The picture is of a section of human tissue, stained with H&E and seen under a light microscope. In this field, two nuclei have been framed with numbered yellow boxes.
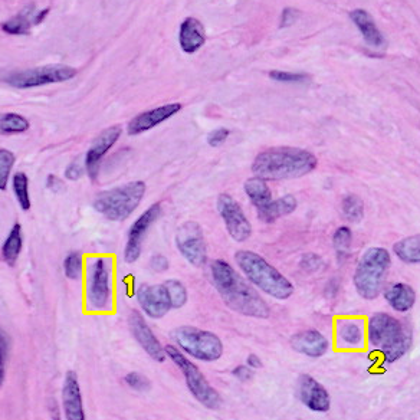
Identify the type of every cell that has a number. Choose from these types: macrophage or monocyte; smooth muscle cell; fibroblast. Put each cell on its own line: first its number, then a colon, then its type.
1: fibroblast
2: smooth muscle cell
